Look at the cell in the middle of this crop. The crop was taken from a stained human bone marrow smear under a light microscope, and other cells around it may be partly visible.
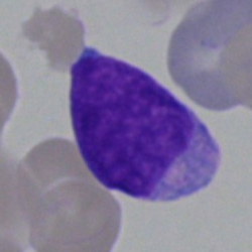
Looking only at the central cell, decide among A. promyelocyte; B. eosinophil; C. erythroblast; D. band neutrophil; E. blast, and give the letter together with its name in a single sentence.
Option E is the right choice, the central cell being a blast.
